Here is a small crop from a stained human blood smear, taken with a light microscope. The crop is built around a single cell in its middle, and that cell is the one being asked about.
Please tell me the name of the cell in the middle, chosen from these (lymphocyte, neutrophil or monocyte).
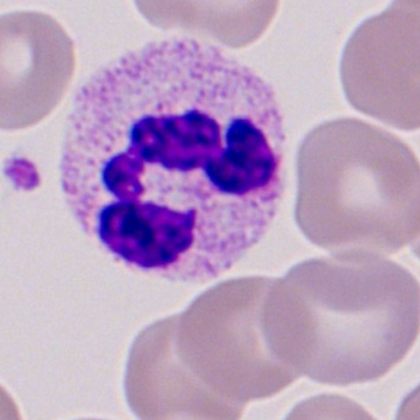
neutrophil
